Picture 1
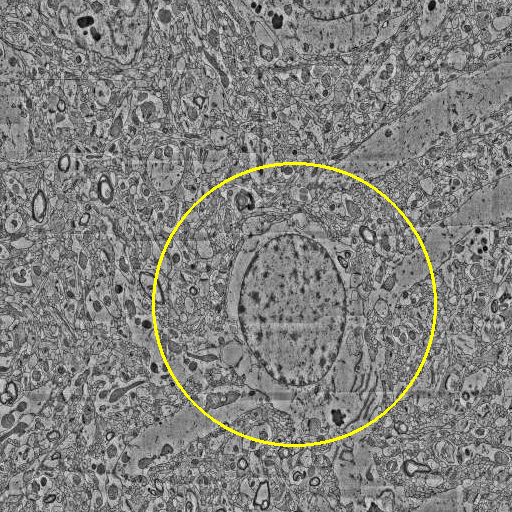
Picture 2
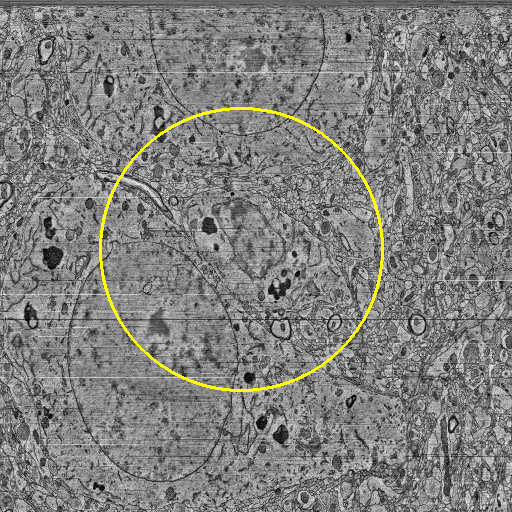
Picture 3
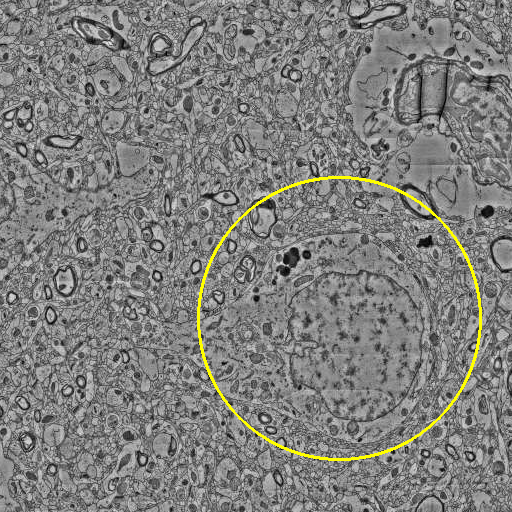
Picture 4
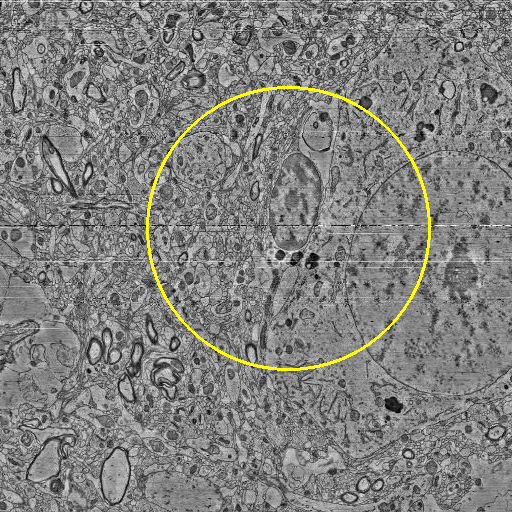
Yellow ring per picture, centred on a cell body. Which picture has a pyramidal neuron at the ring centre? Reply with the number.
3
